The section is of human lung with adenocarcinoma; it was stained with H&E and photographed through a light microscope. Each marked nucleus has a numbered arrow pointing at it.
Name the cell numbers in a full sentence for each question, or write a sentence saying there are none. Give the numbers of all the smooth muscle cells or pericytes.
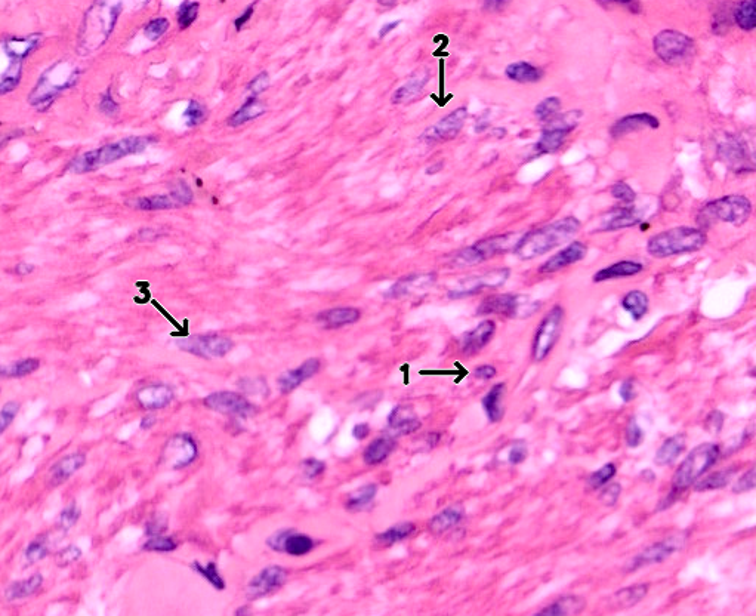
When it comes to cells 2 and 3, they are smooth muscle cells or pericytes.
